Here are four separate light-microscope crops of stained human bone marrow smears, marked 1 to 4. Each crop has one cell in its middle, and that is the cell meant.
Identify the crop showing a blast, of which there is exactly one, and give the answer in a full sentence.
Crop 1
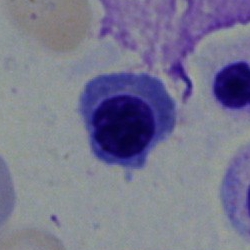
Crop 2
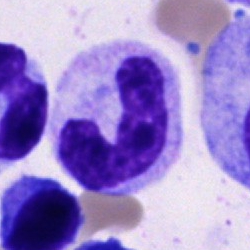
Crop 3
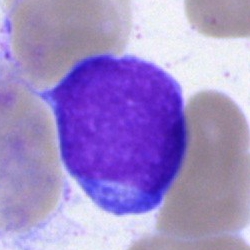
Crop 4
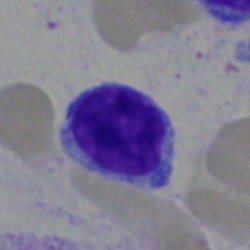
On review of the set, crop 3 is the one showing a blast.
